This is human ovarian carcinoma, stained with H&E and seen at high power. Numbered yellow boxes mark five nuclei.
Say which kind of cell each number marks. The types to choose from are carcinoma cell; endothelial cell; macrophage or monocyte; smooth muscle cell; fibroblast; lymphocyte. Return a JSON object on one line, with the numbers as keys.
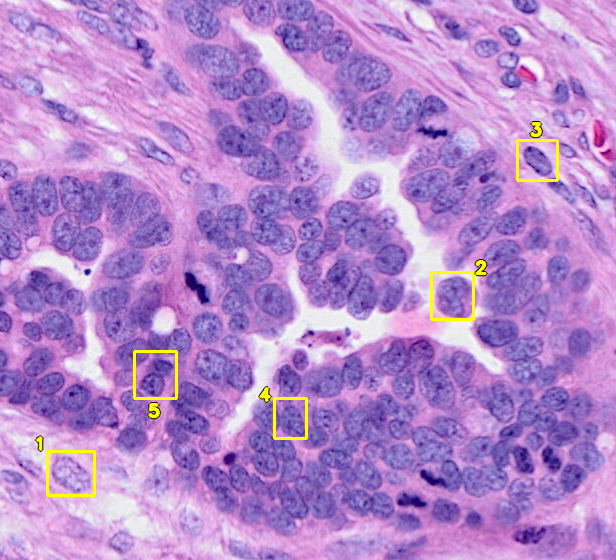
{"1": "fibroblast", "2": "carcinoma cell", "3": "macrophage or monocyte", "4": "carcinoma cell", "5": "carcinoma cell"}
